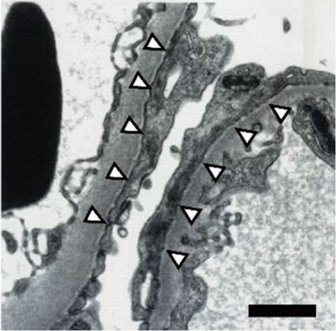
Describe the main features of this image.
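This is a high-power electron micrograph of glomerular capillary walls, with a dark red blood cell lying in a capillary lumen on the left. The basement membrane runs as a smooth grey band of even thickness. On its outer side the podocyte cytoplasm forms a continuous flat layer instead of a row of separate small foot processes, marked by the arrowheads. No dark dense deposits are seen in or along the basement membrane. Thin endothelial cytoplasm lines the inner side facing the lumen.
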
